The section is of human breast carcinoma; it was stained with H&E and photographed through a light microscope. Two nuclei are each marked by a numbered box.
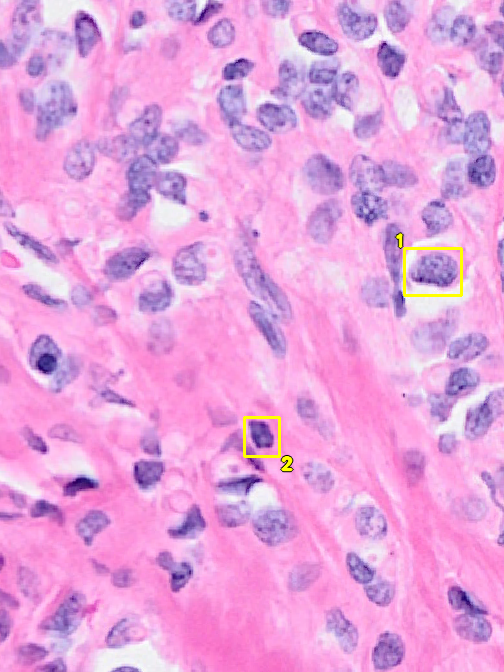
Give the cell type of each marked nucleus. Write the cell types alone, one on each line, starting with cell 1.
carcinoma cell
lymphocyte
